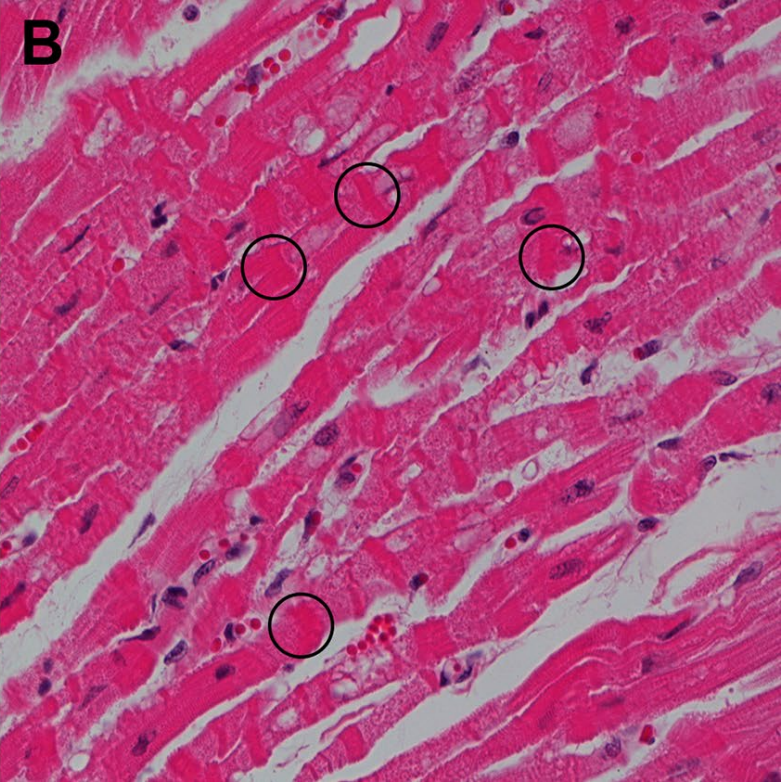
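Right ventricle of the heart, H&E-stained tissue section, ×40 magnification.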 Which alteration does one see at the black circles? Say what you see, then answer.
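The circles enclose thick, dense, deep pink bands. The bands run across the muscle fibres. Paler, granular muscle lies between the bands. So: contraction bands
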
